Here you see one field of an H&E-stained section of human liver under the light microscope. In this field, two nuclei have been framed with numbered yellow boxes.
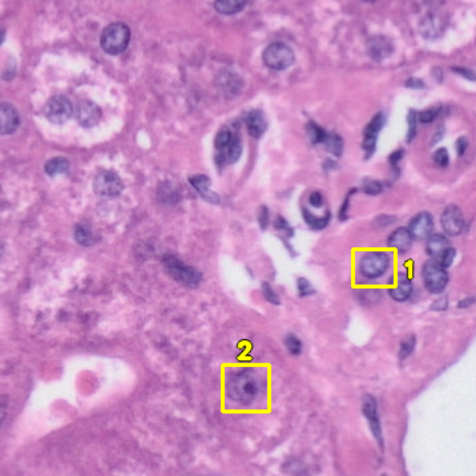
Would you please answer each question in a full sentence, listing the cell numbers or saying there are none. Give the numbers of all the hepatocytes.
Cell 2 represents a hepatocyte, and no other numbered cell does.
